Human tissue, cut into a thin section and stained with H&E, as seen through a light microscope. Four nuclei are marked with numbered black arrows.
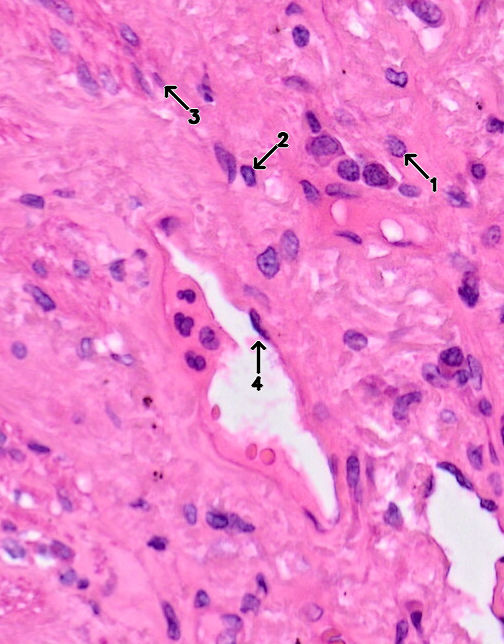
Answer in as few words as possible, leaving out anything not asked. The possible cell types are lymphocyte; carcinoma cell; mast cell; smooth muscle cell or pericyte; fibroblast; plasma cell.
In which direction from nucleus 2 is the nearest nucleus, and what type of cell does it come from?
a fibroblast; above and to the left of nucleus 2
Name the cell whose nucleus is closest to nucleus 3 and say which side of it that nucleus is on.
a smooth muscle cell or pericyte to the left of nucleus 3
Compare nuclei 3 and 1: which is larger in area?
1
